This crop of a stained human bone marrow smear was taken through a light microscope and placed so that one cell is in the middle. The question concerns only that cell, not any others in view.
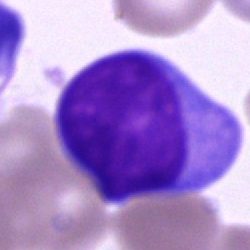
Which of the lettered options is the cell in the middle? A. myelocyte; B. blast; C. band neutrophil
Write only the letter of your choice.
B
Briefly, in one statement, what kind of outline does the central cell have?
Expected answer: a smooth cell outline without projections of any sort.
